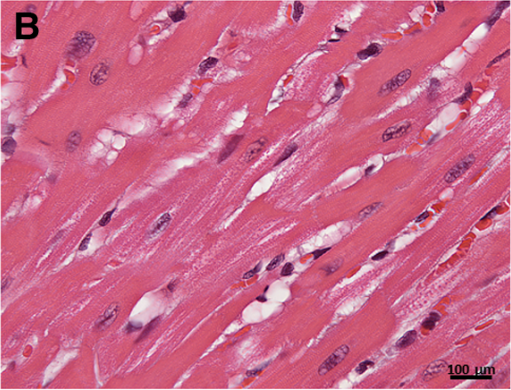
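This is heart muscle in which the cardiomyocytes are no longer evenly pink but patchy, with pale, granular and frayed stretches within the fibers. The spaces between the fibers are widened by clear, vacuolated gaps, and red blood cells and scattered nuclei lie in these gaps.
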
